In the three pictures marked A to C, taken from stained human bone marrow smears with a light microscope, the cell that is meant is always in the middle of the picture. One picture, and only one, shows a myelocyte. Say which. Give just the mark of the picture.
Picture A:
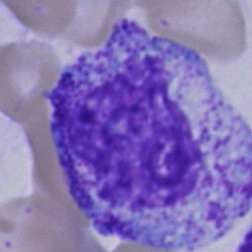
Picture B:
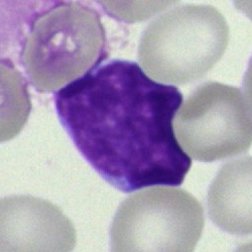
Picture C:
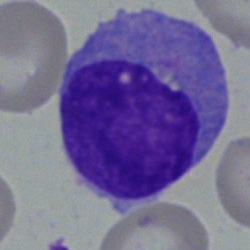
A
